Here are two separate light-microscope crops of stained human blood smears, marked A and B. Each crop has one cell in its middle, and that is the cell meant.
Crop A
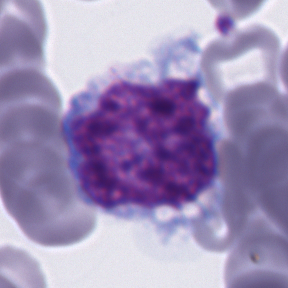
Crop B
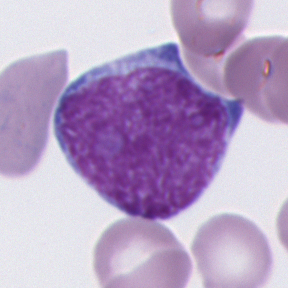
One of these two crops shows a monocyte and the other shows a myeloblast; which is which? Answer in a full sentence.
Found in crop A is a monocyte; found in crop B is a myeloblast.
